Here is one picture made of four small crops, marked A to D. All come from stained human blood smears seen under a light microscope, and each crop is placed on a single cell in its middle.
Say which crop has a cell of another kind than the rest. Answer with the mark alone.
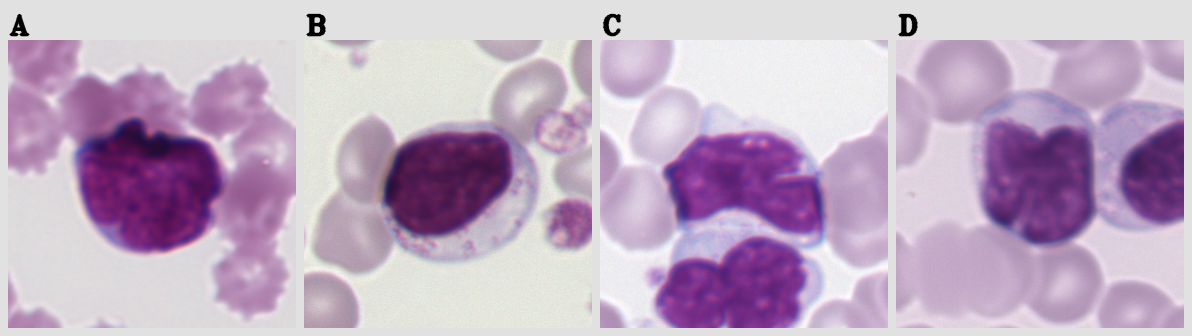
A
